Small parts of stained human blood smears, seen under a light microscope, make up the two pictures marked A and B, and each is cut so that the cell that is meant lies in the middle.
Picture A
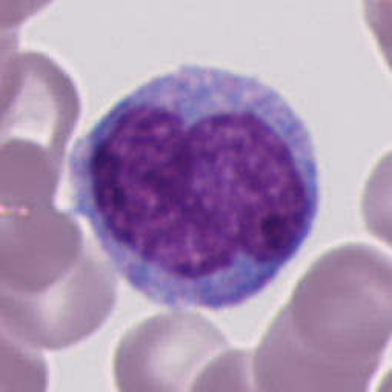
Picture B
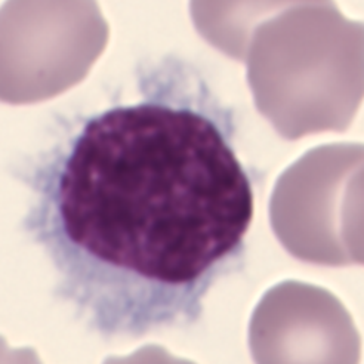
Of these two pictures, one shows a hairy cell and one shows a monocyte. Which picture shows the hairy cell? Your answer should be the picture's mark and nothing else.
B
